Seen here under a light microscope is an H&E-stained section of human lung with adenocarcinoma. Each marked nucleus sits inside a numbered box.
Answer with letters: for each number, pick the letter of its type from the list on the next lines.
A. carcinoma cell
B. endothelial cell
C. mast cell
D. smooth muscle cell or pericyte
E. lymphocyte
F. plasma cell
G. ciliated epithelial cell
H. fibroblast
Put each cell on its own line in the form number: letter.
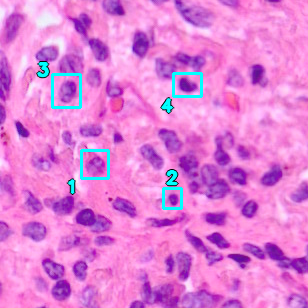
1: C
2: E
3: E
4: E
